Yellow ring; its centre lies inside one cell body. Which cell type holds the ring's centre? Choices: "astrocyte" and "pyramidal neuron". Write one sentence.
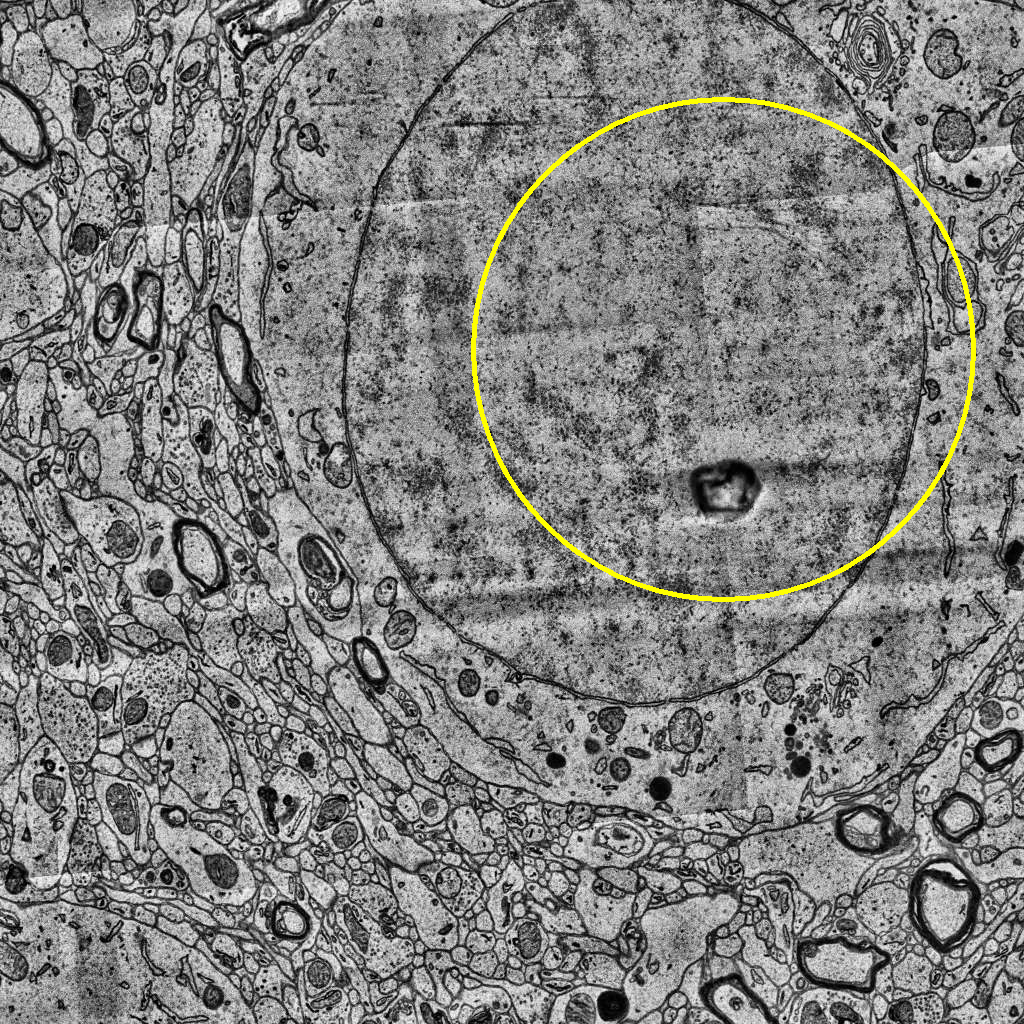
At the centre of the ring sits a pyramidal neuron.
